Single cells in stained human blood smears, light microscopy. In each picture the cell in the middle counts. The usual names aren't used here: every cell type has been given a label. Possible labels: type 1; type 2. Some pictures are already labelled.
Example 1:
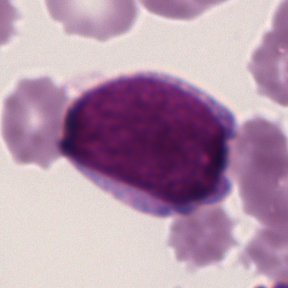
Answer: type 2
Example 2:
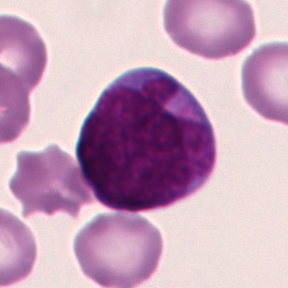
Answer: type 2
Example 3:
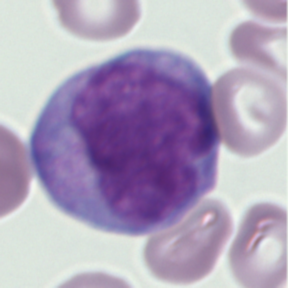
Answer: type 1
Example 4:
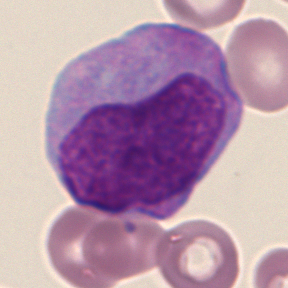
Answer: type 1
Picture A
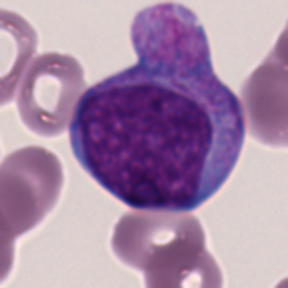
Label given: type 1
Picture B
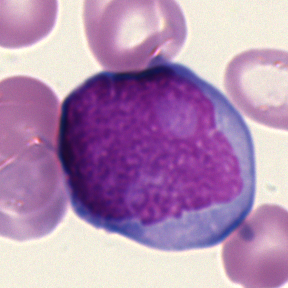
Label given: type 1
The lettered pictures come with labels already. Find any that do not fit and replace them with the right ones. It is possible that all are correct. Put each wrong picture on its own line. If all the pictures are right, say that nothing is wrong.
B is labelled type 1; correct label: type 2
